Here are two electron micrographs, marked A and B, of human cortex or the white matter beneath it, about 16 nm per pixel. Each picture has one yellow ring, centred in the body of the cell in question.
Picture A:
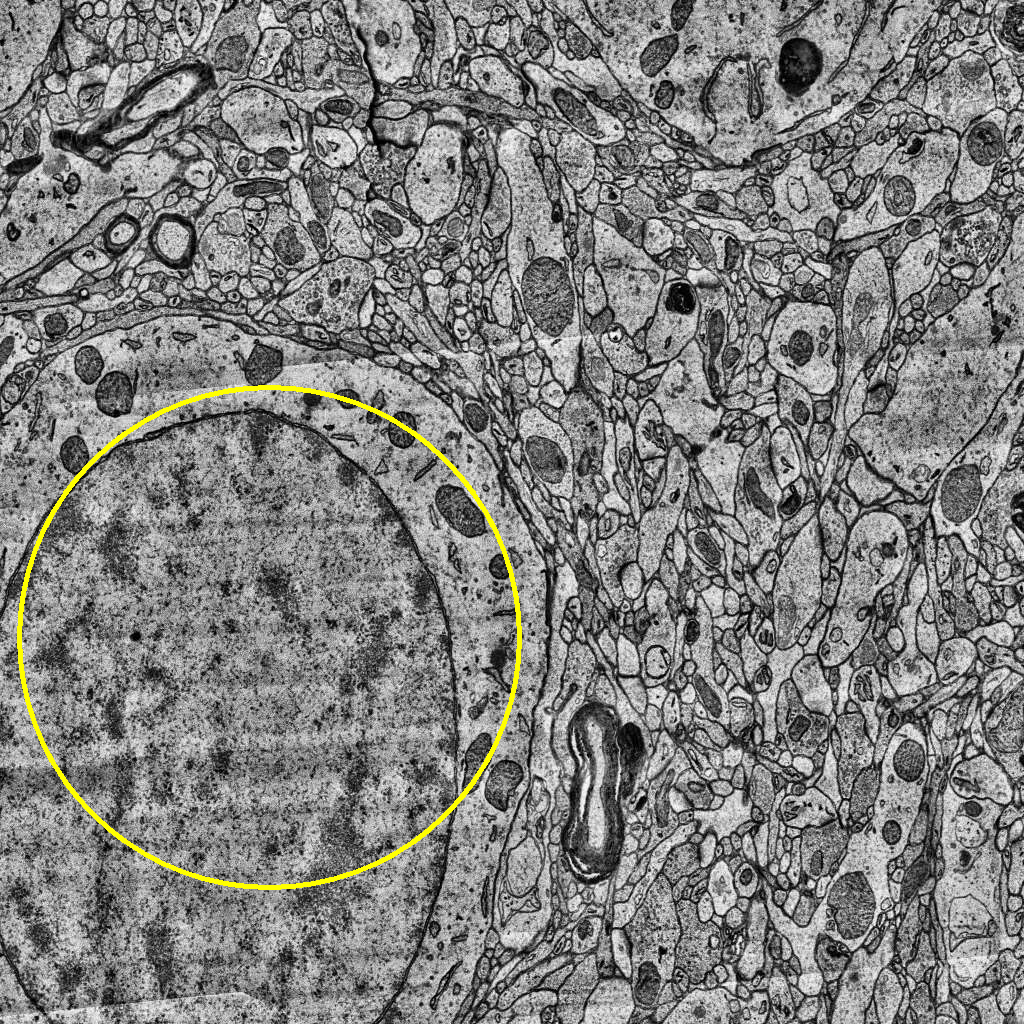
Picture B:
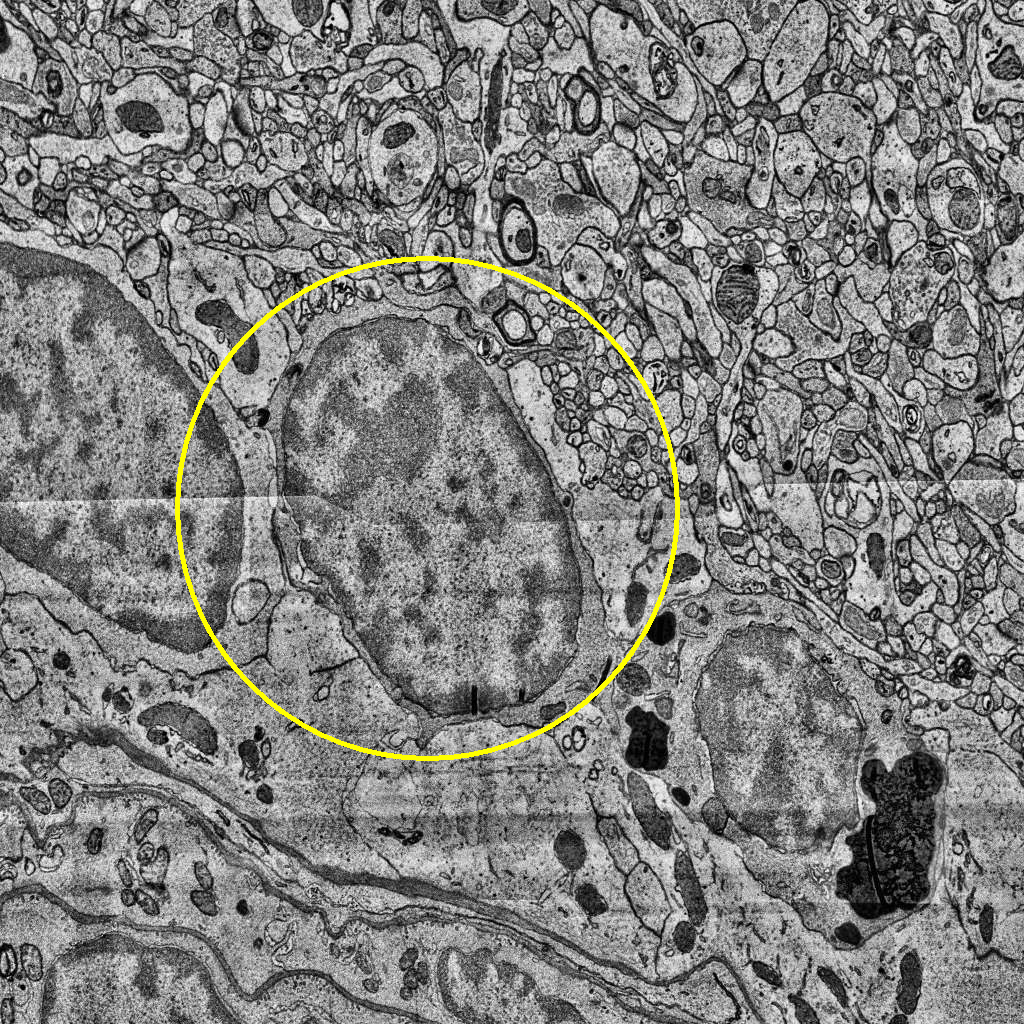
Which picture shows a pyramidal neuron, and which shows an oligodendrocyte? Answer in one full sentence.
The cell in picture A is a pyramidal neuron, and the one in picture B is an oligodendrocyte.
